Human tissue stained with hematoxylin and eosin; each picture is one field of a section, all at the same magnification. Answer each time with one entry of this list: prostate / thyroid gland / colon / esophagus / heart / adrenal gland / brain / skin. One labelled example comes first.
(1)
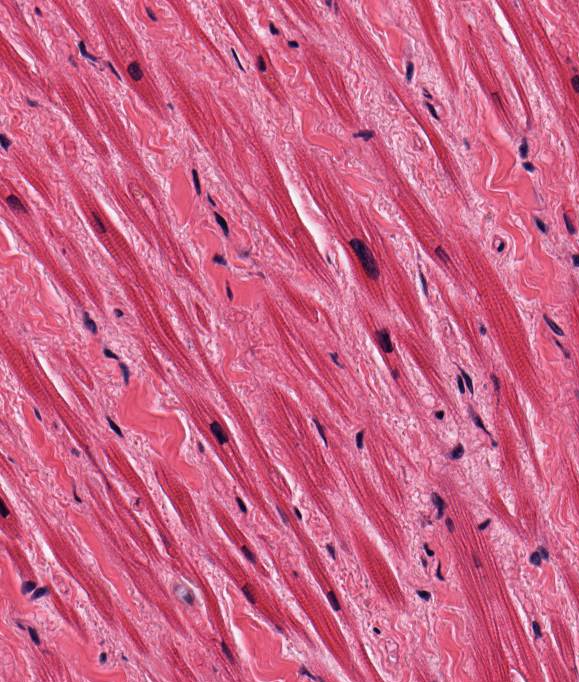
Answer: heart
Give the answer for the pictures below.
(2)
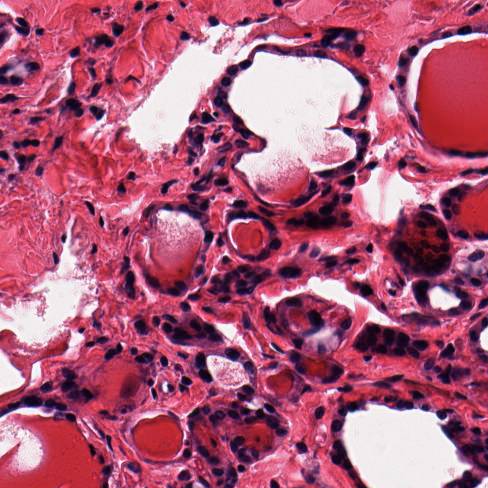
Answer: thyroid gland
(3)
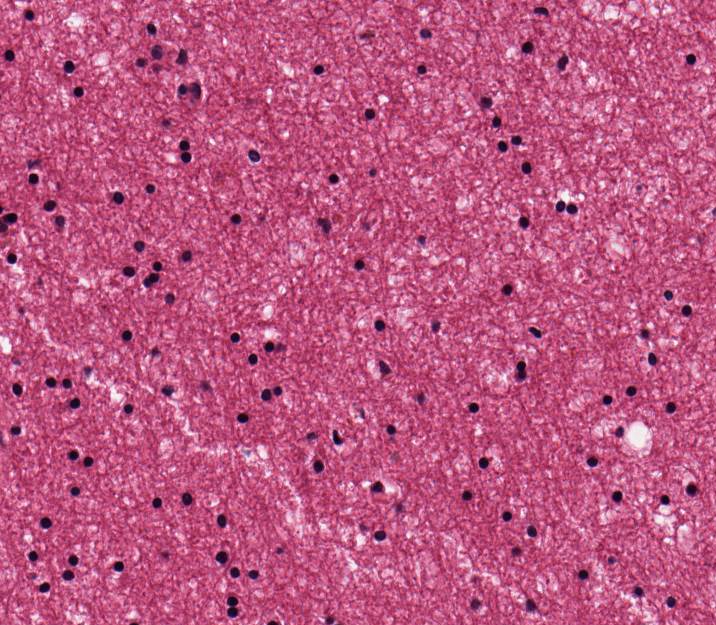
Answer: brain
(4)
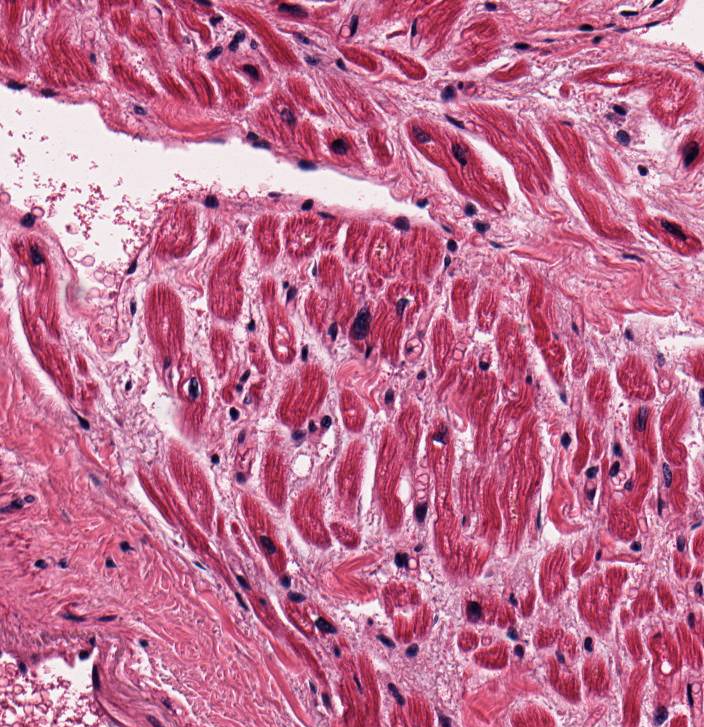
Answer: heart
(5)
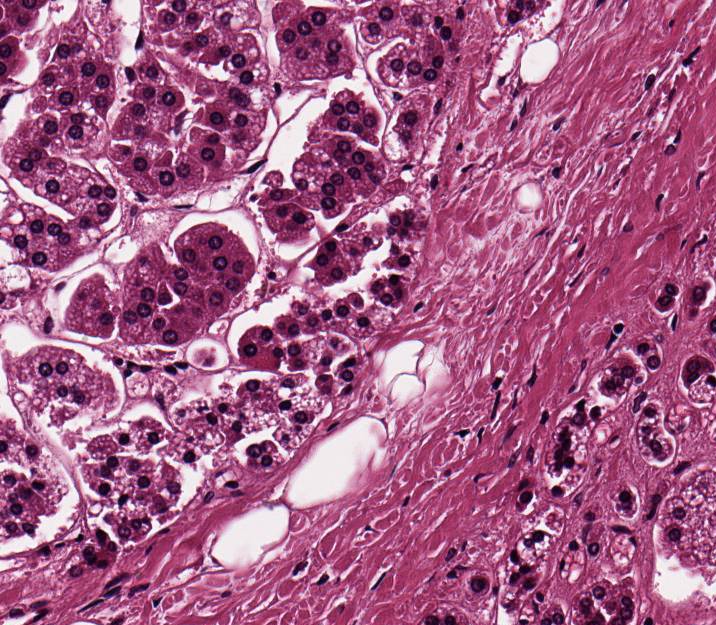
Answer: adrenal gland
